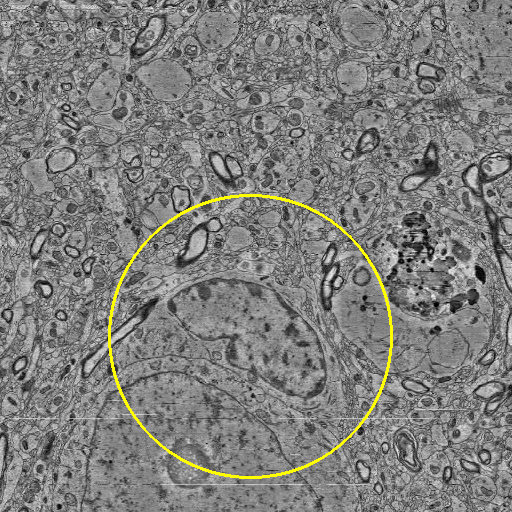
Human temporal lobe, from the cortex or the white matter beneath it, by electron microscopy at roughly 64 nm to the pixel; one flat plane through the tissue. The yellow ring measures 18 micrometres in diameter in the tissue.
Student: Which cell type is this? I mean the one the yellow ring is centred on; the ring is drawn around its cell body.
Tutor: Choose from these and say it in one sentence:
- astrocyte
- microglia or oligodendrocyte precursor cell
The cell the ring is centred on is a microglial cell or oligodendrocyte precursor cell.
